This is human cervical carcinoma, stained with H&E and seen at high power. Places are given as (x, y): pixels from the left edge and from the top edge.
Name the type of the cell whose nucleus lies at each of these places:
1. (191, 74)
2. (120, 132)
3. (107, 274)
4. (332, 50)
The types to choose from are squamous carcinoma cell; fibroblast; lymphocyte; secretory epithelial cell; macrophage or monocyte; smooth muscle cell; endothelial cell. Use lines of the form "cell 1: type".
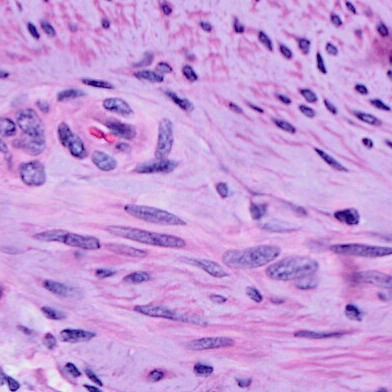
cell 1: smooth muscle cell
cell 2: endothelial cell
cell 3: smooth muscle cell
cell 4: smooth muscle cell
